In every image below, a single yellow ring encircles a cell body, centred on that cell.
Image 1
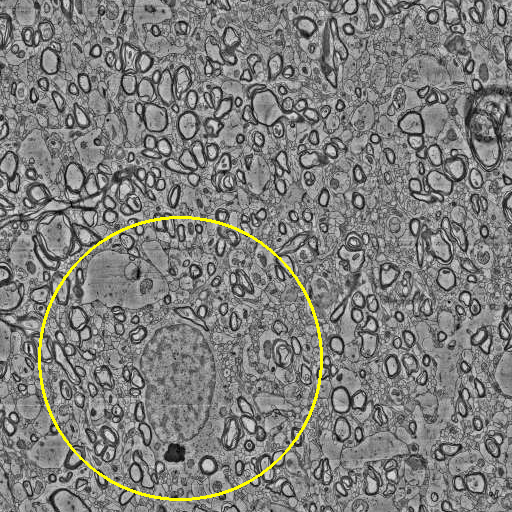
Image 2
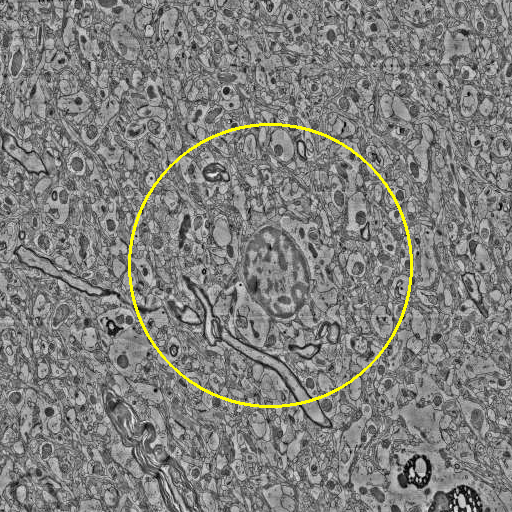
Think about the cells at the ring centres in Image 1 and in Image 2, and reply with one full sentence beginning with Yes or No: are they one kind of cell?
Yes, the cells centred in the rings of Image 1 and Image 2 are one kind of cell.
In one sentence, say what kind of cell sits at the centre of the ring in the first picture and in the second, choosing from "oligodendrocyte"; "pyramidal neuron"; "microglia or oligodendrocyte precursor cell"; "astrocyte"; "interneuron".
The ring centre holds an oligodendrocyte in each of the two pictures.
